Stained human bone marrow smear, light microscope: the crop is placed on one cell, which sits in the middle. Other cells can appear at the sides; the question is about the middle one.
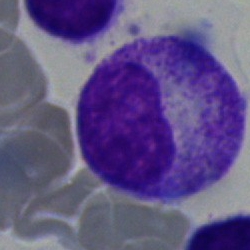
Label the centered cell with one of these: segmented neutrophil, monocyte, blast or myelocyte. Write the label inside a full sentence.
The middle of this crop is occupied by a myelocyte.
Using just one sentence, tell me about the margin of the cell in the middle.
If you check the edge, you will find it smooth without projections.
